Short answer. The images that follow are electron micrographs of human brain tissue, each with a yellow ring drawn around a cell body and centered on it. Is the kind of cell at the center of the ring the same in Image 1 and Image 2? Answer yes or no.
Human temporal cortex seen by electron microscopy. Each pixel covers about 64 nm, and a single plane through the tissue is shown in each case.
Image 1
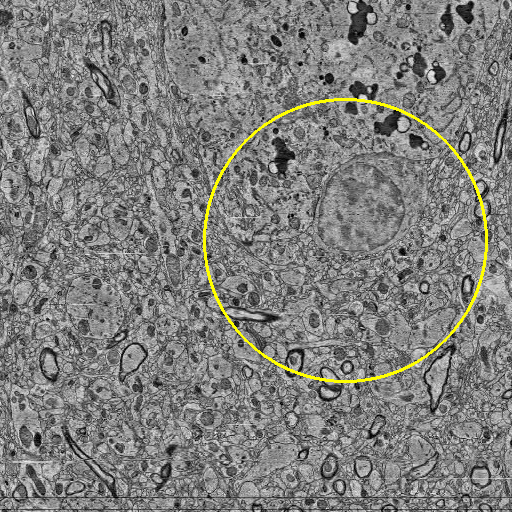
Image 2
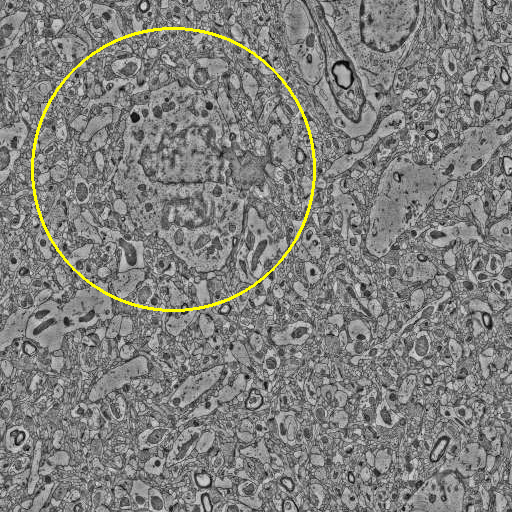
no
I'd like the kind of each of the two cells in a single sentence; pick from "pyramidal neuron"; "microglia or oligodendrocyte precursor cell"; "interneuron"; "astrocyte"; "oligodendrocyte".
The first ring marks an oligodendrocyte, and the second ring marks an interneuron.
